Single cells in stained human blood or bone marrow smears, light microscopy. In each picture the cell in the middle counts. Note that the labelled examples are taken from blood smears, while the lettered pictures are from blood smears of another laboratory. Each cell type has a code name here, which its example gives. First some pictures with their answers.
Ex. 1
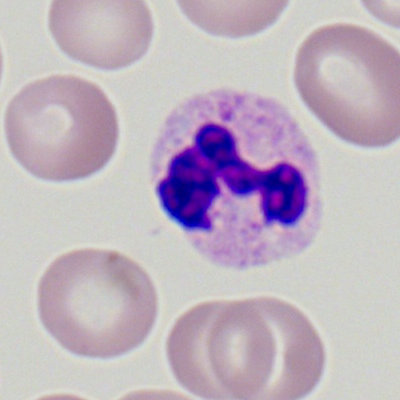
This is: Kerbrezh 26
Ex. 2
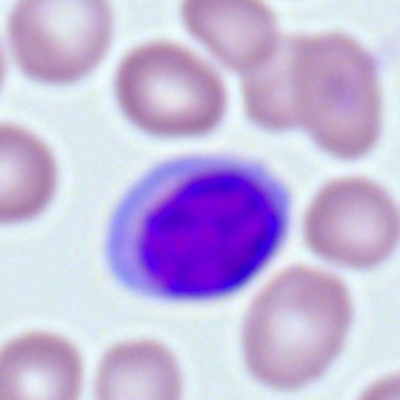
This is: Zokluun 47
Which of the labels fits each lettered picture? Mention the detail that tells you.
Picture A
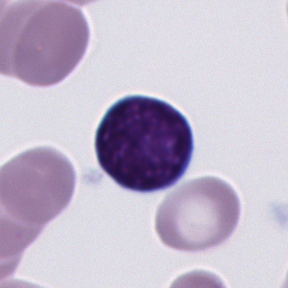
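Zokluun 47. The nucleus fills almost the whole cell.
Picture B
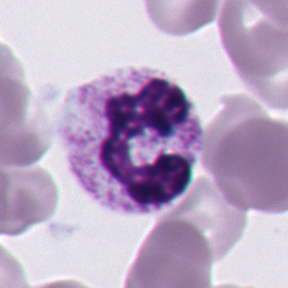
Kerbrezh 26. The cytoplasm is abundant and pale.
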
